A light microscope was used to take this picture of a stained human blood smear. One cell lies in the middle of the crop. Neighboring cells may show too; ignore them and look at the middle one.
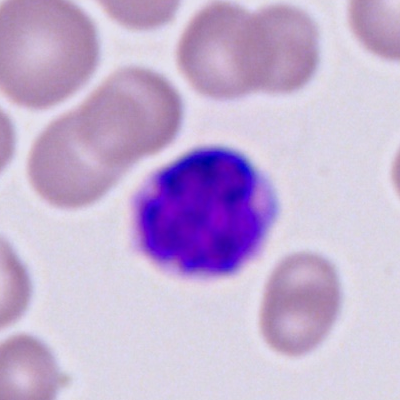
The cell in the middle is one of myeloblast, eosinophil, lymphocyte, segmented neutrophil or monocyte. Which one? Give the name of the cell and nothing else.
lymphocyte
